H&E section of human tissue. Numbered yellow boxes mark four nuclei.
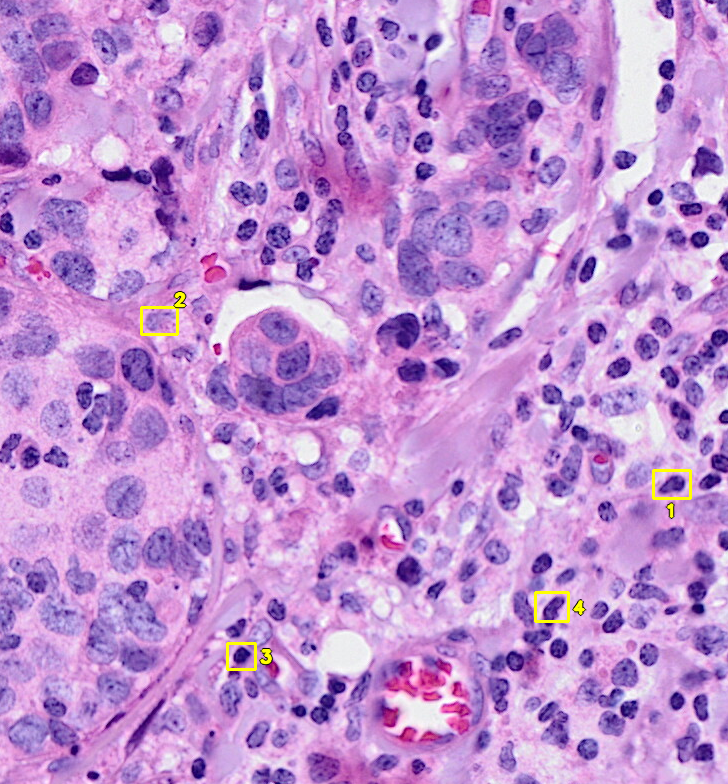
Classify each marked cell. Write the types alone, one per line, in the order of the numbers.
lymphocyte
macrophage, monocyte or dendritic cell
lymphocyte
lymphocyte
